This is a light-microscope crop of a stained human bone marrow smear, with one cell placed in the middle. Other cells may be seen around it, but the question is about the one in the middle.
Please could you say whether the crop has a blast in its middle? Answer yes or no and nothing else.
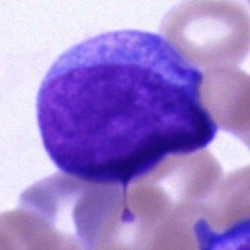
yes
